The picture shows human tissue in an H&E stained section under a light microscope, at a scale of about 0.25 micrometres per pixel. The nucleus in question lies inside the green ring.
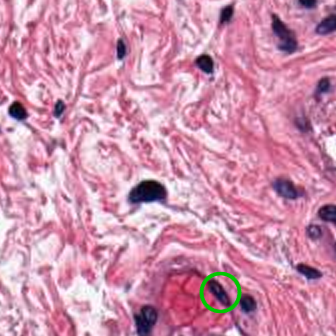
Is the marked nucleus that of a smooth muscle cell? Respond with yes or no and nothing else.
no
